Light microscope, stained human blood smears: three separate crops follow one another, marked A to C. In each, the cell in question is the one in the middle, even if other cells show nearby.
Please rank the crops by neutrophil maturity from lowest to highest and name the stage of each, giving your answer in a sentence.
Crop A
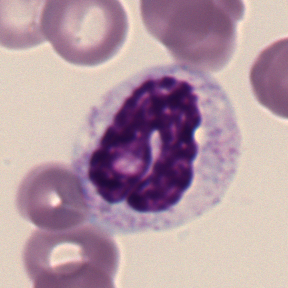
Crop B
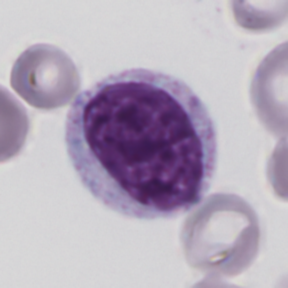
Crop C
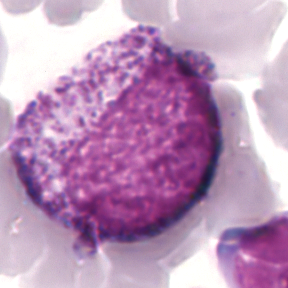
Starting with the least mature and ending with the most mature, the order is crop C (a promyelocyte), crop B (a metamyelocyte) and crop A (a band neutrophil).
